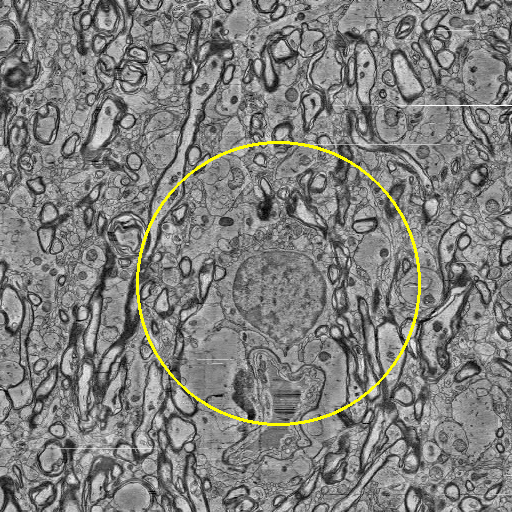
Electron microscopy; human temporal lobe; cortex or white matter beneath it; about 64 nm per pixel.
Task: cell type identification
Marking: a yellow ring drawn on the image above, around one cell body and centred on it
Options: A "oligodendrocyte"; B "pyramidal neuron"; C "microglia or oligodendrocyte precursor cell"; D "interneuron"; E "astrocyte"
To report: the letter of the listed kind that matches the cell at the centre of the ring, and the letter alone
A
